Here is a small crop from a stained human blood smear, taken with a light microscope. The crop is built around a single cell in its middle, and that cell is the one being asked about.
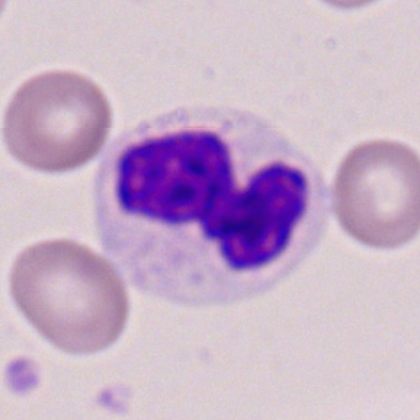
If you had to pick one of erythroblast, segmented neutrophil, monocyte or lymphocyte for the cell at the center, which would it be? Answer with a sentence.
The cell at the heart of this crop is a segmented neutrophil.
